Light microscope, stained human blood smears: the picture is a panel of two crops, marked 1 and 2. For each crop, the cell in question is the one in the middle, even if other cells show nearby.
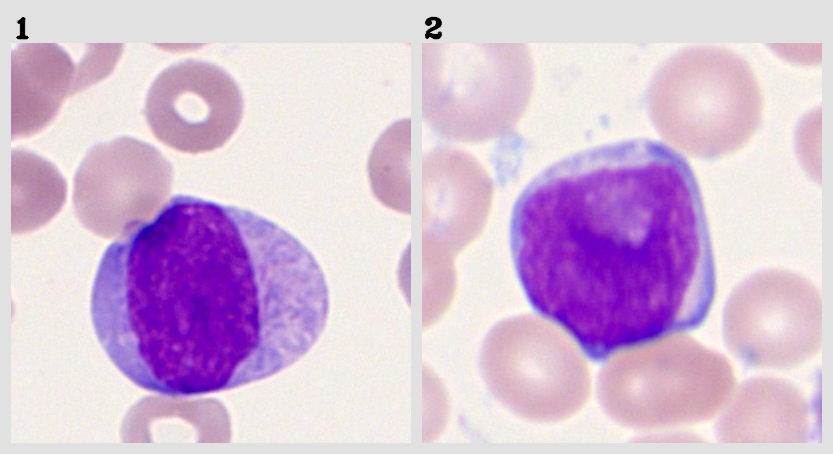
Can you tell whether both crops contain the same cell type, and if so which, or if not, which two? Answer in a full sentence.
Yes, the two crops are alike in showing myeloblasts.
